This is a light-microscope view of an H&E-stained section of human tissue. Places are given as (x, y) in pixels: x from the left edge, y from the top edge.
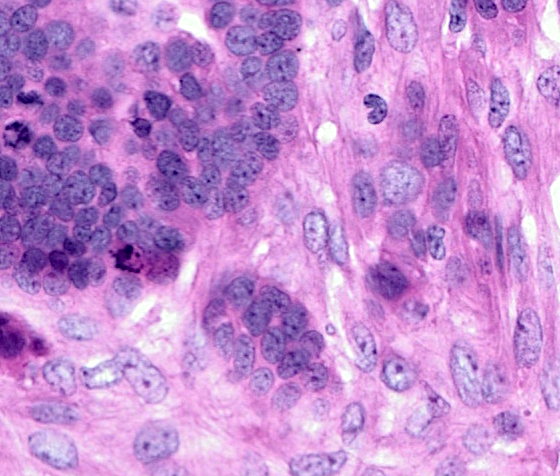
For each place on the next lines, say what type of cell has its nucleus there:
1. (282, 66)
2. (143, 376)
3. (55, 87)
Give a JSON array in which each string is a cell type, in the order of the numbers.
["carcinoma cell", "fibroblast", "carcinoma cell"]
